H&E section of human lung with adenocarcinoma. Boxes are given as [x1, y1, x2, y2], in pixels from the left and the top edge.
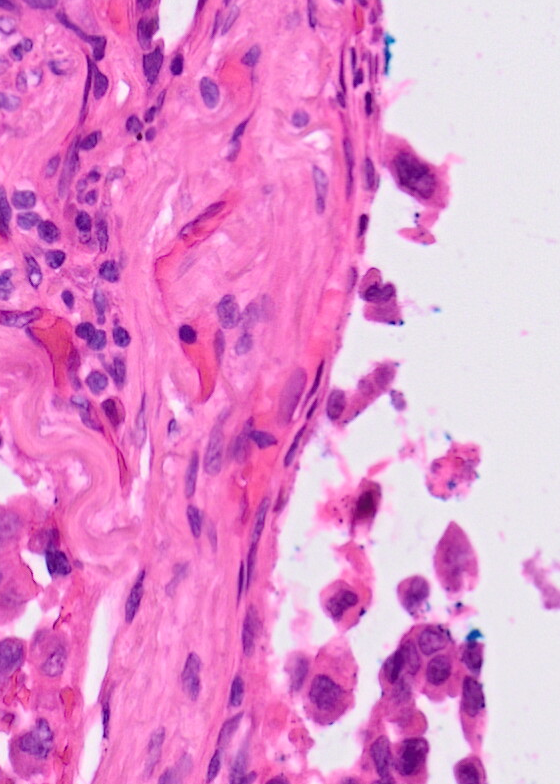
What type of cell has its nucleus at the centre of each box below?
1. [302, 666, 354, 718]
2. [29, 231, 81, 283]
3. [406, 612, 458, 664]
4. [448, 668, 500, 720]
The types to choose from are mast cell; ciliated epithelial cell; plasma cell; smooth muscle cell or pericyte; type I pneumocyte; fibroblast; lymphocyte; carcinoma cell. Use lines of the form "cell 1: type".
cell 1: carcinoma cell
cell 2: lymphocyte
cell 3: carcinoma cell
cell 4: carcinoma cell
